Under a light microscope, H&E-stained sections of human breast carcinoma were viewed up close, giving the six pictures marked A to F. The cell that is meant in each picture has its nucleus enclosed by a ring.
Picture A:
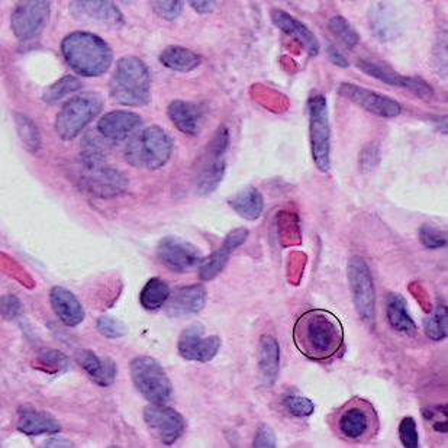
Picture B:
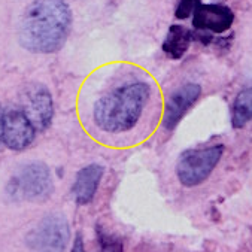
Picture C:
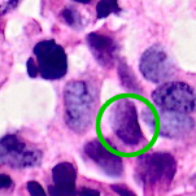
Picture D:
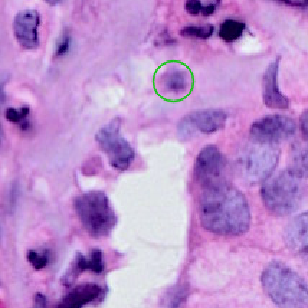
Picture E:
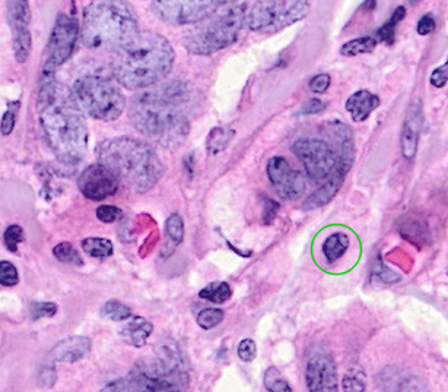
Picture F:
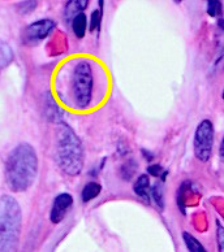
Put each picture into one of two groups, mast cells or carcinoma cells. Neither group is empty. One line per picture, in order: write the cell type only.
mast cell
carcinoma cell
carcinoma cell
mast cell
mast cell
mast cell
